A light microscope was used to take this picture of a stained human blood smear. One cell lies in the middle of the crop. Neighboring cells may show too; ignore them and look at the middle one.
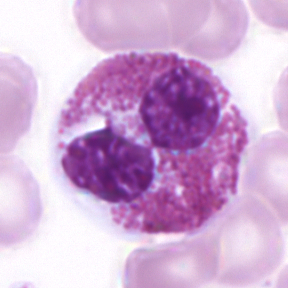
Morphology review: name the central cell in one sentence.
The cell the crop is centered on is an eosinophil.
